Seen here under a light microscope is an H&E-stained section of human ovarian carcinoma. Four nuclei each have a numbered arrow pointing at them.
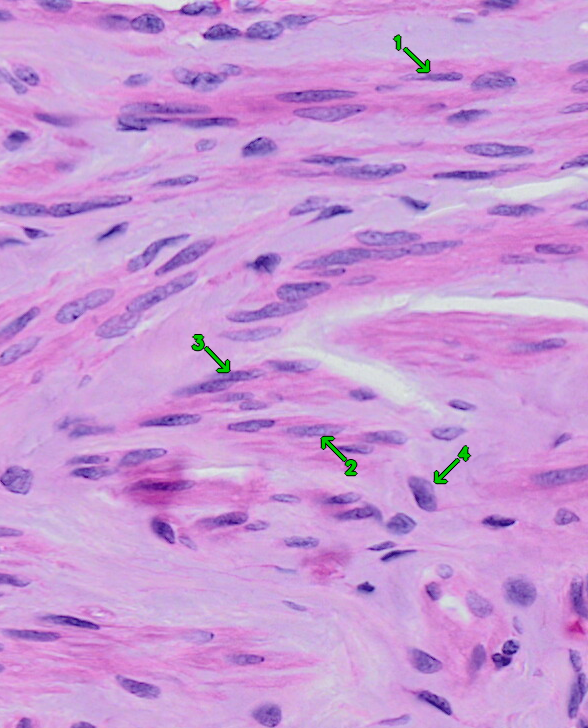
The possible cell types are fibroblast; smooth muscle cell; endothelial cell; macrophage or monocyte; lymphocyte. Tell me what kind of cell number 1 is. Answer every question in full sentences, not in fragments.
Cell 1 of the marked set is a smooth muscle cell.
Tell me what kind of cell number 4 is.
The cell that carries the label 4 is a fibroblast.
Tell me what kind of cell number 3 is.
The cell indicated with the number 3 is classed as a smooth muscle cell.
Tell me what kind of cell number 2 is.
Recognised here as a smooth muscle cell is the cell numbered 2.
